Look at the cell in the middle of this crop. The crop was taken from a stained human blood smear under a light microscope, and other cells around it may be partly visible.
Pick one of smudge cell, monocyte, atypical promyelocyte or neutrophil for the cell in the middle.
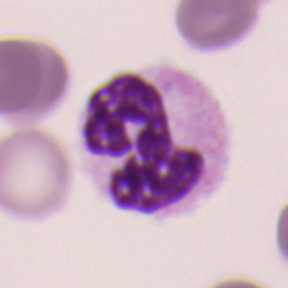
neutrophil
